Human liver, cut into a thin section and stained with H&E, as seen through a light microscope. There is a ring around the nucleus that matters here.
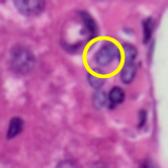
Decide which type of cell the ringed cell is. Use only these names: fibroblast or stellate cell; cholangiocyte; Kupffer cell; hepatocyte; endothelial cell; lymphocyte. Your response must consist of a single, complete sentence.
The correct response here is that the ringed cell is a cholangiocyte.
